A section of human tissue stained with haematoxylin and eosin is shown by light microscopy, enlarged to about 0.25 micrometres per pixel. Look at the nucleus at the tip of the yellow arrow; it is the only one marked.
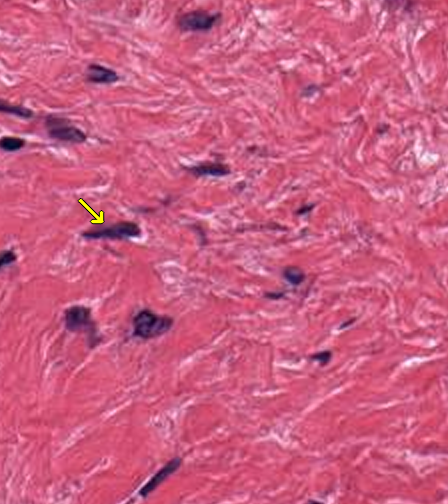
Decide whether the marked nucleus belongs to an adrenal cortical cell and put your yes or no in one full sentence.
No, the cell bearing the marked nucleus is not an adrenal cortical cell but a supporting cell.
